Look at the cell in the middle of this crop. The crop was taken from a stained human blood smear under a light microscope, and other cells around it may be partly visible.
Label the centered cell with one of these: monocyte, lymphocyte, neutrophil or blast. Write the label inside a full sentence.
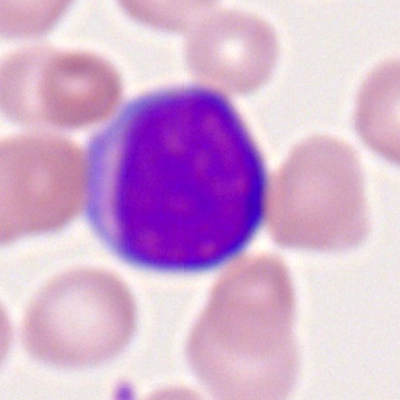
What sits at the centre of this crop is a blast.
